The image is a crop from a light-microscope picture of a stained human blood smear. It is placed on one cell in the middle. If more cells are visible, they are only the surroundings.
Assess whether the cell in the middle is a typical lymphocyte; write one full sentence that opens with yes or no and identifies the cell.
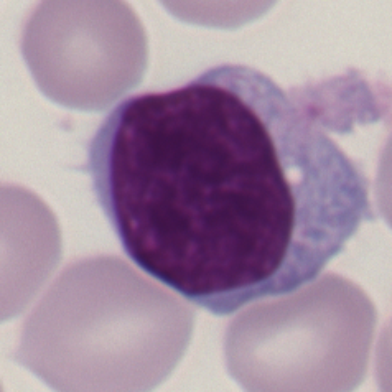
Yes, the centered cell in this field is a typical lymphocyte.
